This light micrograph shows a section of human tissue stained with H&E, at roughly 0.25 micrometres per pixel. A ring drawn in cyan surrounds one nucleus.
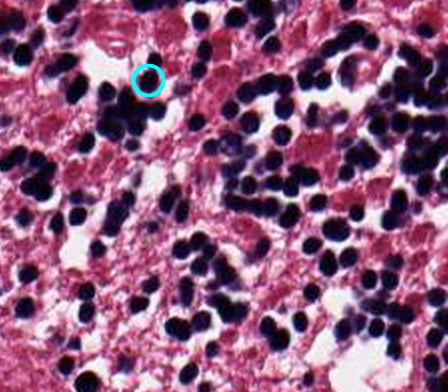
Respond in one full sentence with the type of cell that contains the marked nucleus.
The marked nucleus belongs, in this picture, to a cerebellar granule cell.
